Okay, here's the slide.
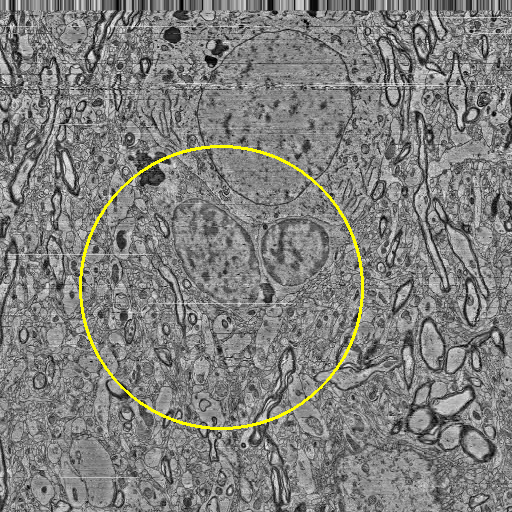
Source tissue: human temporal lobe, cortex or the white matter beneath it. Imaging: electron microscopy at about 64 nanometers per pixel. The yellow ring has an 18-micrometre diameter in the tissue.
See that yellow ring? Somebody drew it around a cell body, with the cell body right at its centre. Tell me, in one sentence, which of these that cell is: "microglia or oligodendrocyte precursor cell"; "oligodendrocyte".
The cell in the middle of the ring is an oligodendrocyte.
